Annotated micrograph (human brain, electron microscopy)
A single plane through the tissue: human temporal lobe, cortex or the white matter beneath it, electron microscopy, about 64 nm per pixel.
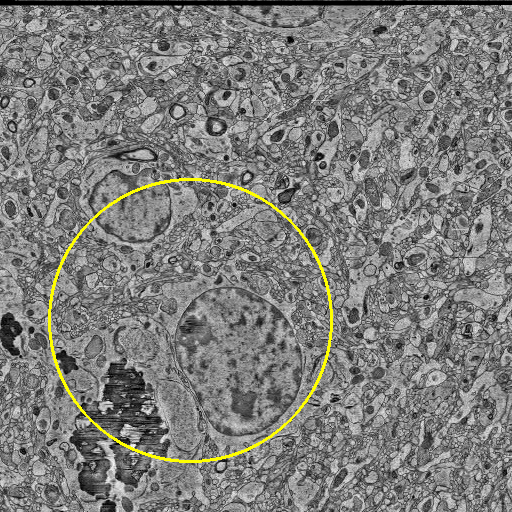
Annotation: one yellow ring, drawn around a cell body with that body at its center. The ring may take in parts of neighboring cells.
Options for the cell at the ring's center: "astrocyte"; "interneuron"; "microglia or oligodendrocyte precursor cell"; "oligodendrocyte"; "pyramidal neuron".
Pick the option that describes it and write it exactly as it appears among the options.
astrocyte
